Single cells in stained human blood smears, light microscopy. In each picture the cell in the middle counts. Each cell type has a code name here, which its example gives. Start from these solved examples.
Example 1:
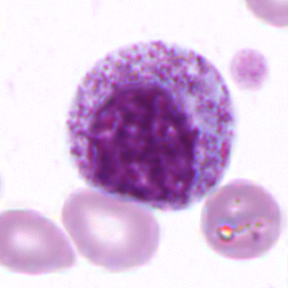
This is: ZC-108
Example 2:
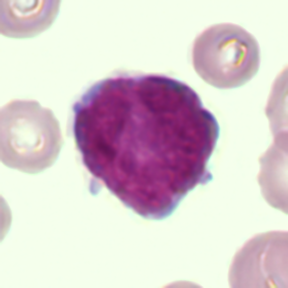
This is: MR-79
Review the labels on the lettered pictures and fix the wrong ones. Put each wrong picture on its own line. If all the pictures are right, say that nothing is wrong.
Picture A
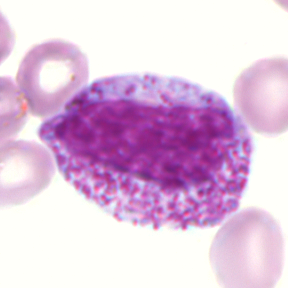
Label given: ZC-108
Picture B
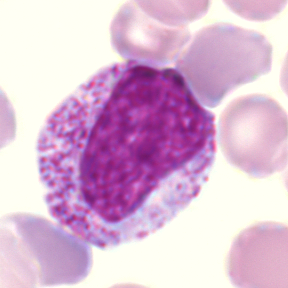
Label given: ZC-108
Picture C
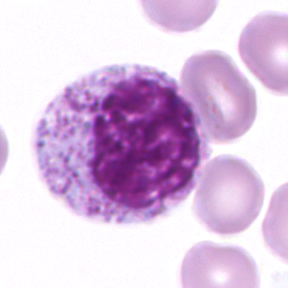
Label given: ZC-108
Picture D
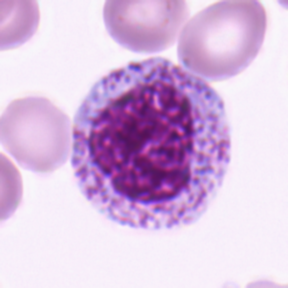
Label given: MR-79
D: change MR-79 to ZC-108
